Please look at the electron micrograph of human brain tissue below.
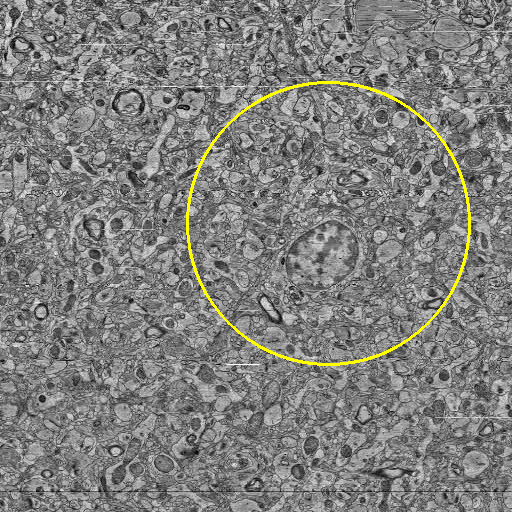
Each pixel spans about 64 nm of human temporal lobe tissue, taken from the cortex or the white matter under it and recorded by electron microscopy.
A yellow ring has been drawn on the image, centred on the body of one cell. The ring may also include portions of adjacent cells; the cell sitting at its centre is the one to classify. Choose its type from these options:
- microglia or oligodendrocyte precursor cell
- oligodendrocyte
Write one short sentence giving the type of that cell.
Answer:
The cell in the middle of the ring is a microglial cell or oligodendrocyte precursor cell.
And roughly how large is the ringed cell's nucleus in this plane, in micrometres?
The nucleus is approximately 4 micrometers across in this plane.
